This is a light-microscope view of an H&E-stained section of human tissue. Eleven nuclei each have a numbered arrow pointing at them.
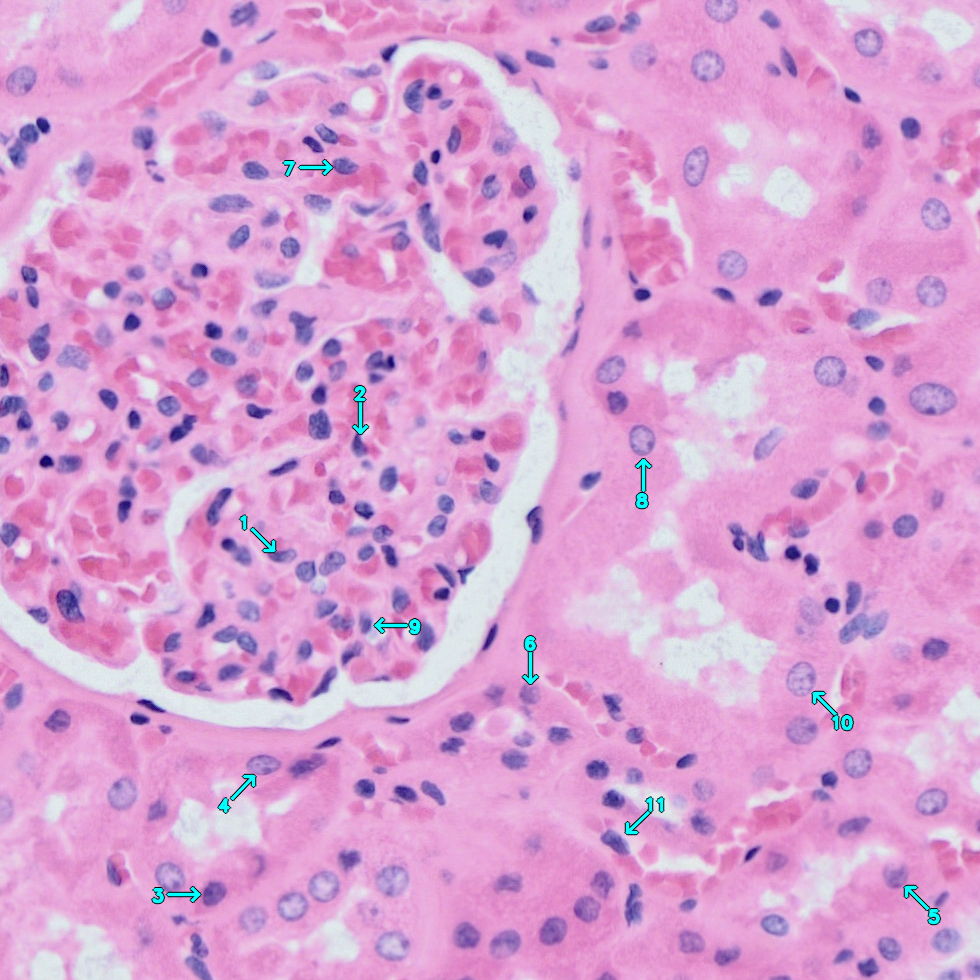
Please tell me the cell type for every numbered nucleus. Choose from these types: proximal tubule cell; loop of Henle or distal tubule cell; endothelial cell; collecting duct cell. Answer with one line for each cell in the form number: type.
1: endothelial cell
2: endothelial cell
3: proximal tubule cell
4: proximal tubule cell
5: proximal tubule cell
6: loop of Henle or distal tubule cell
7: endothelial cell
8: proximal tubule cell
9: endothelial cell
10: proximal tubule cell
11: endothelial cell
